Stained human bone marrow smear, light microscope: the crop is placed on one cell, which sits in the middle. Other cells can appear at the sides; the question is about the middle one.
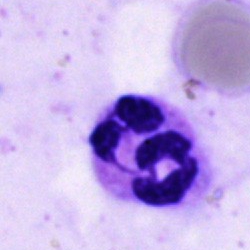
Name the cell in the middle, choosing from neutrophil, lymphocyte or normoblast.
neutrophil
